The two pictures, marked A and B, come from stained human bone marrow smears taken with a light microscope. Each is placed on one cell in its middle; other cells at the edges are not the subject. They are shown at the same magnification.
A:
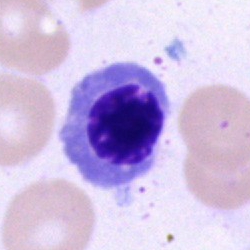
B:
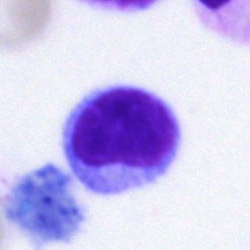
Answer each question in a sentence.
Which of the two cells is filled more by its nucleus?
In picture B the nucleus takes up the larger part of its cell.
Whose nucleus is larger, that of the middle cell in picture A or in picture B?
The nucleus in picture B is larger, with about 1.5 times the area of the one in picture A.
